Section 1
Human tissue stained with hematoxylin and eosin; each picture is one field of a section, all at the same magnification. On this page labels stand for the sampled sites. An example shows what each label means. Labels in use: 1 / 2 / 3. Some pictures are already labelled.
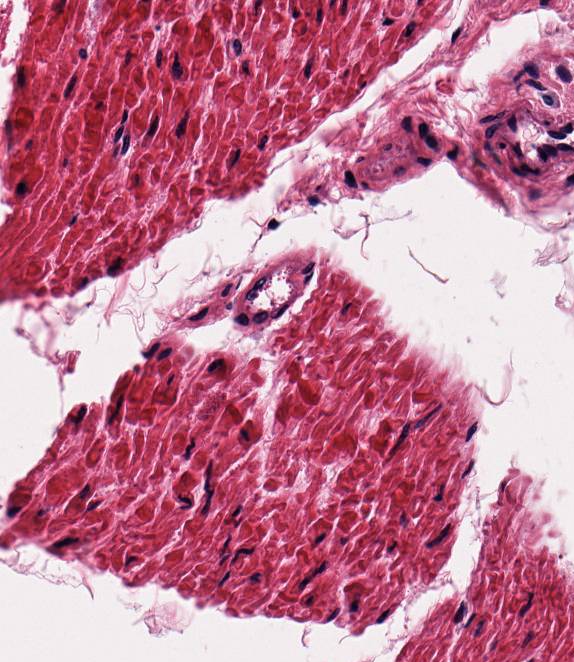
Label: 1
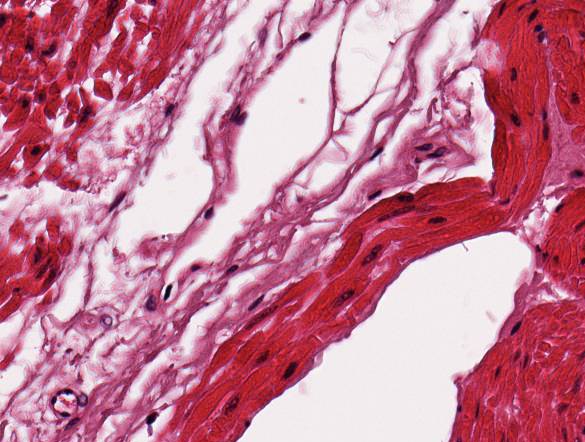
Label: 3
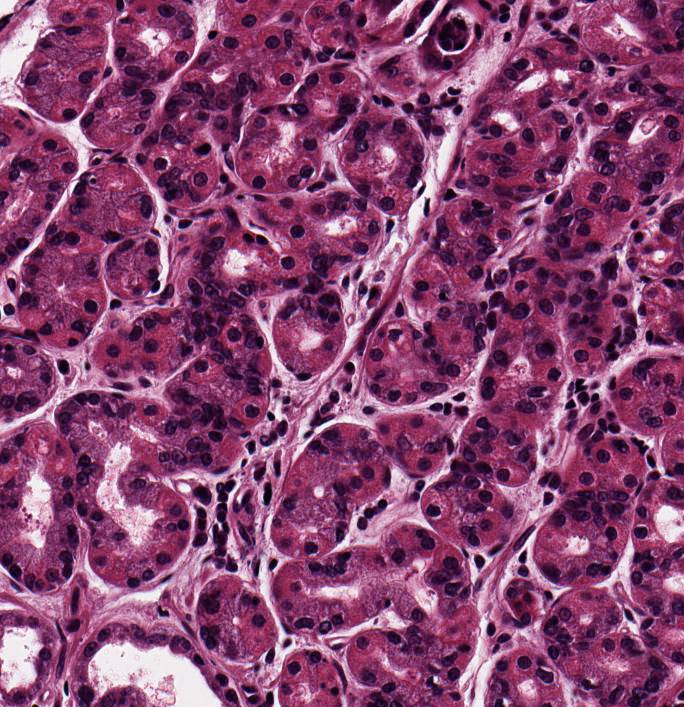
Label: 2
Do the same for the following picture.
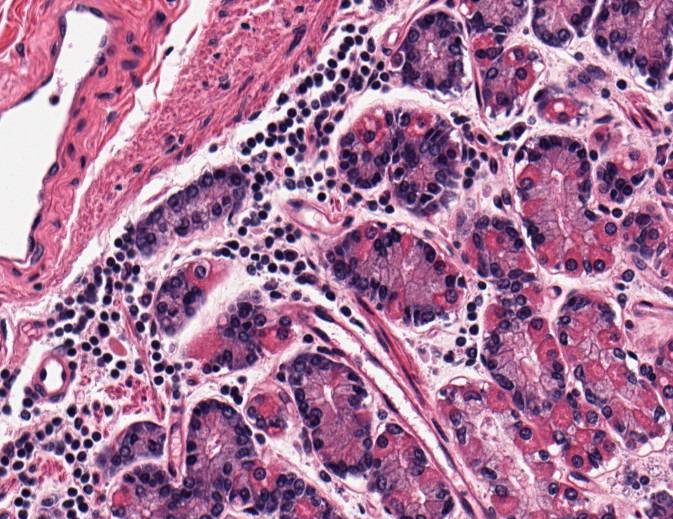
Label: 2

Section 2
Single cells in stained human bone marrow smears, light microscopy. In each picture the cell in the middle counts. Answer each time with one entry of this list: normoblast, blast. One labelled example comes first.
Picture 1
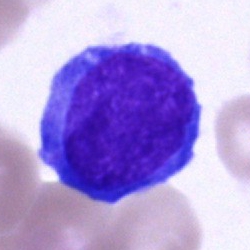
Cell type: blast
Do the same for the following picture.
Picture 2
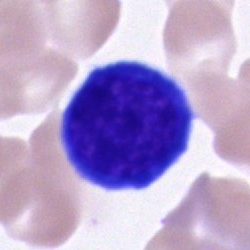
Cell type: normoblast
